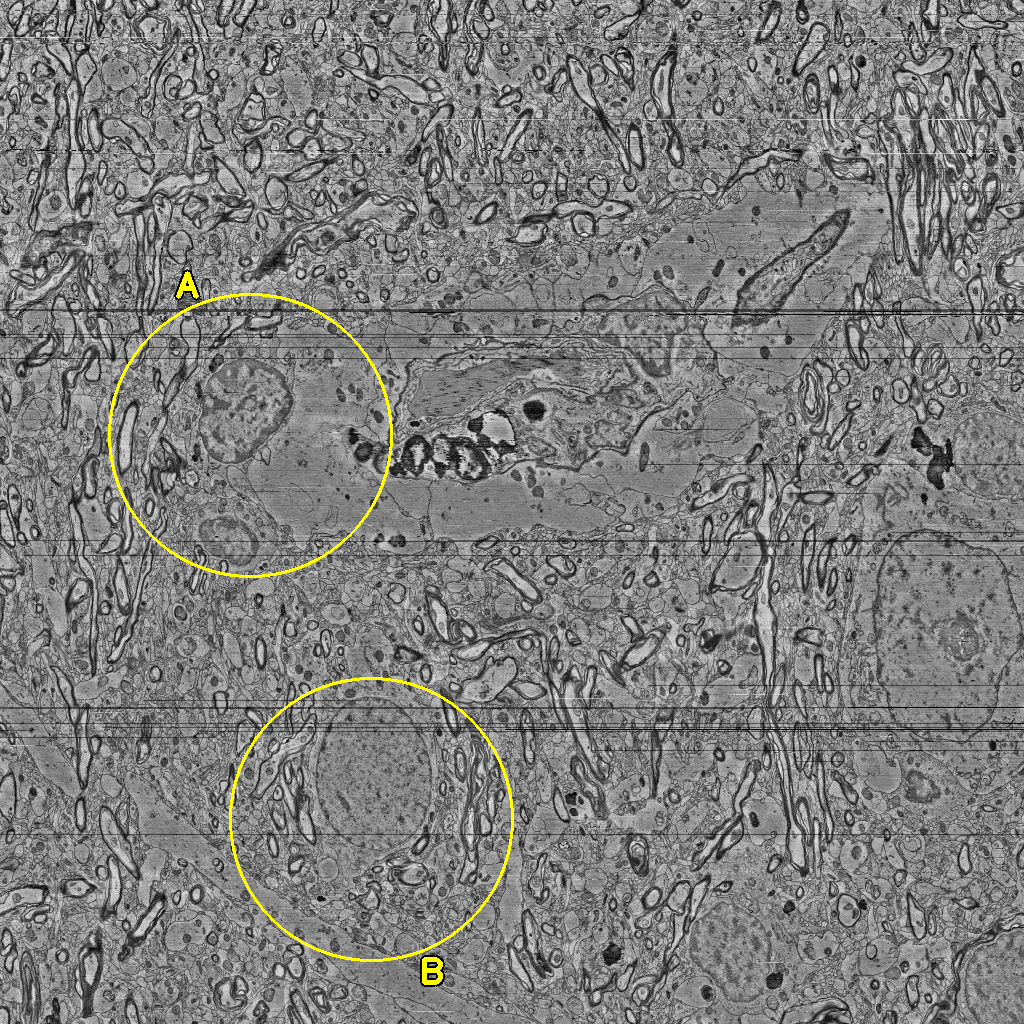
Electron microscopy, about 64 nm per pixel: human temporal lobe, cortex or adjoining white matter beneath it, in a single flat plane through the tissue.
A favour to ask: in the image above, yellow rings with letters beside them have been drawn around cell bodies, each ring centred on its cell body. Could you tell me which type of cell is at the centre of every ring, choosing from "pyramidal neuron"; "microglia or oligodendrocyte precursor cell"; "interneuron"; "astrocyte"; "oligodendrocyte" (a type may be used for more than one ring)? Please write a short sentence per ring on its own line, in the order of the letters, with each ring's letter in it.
Ring A holds a microglial cell or oligodendrocyte precursor cell at its centre.
Ring B holds an astrocyte at its centre.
